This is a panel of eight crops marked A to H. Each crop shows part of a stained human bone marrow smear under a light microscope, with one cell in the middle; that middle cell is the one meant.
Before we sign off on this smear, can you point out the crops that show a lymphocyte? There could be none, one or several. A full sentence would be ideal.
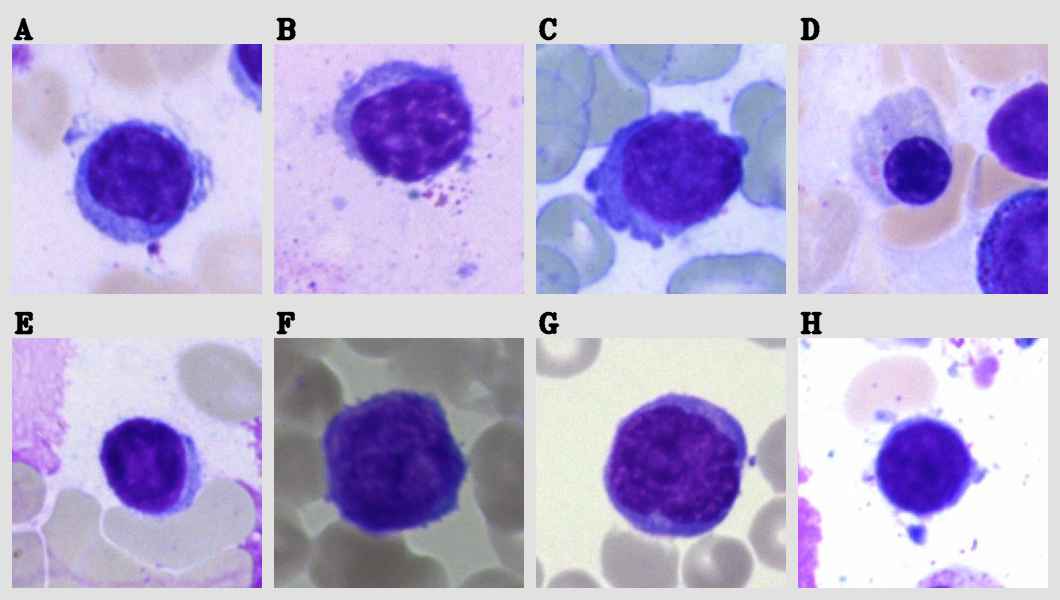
Crops A, B, E and H each contain a central cell, and these cells are lymphocytes.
